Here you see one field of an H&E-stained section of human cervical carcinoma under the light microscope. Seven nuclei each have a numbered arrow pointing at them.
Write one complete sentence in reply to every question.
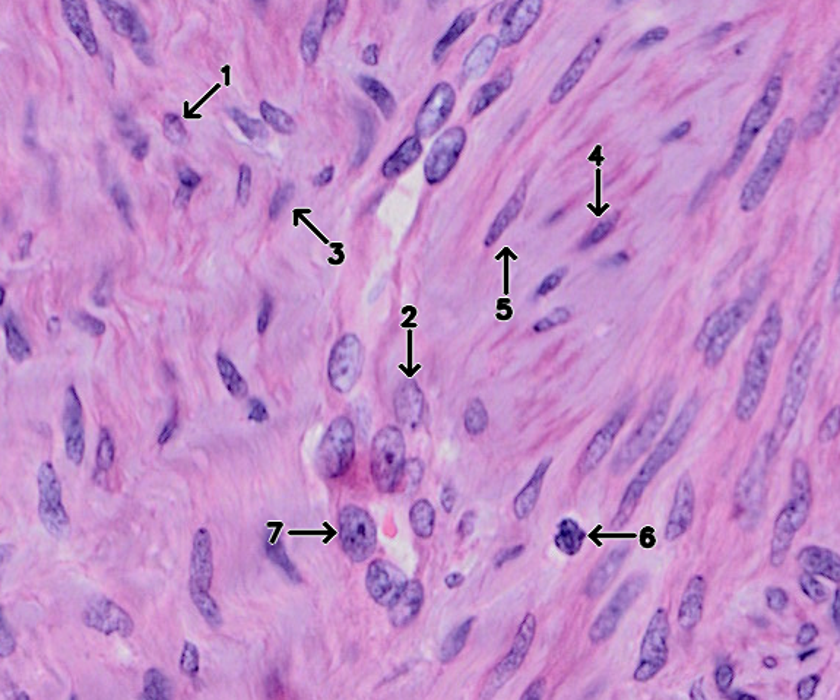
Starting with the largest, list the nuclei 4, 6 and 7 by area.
From largest to smallest, the order is 7, 6, 4.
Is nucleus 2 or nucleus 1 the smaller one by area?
The smaller nucleus is 1, and 2 covers roughly 2 times its area.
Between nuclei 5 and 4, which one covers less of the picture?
The smaller nucleus is 4, and 5 covers roughly 1.5 times its area.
